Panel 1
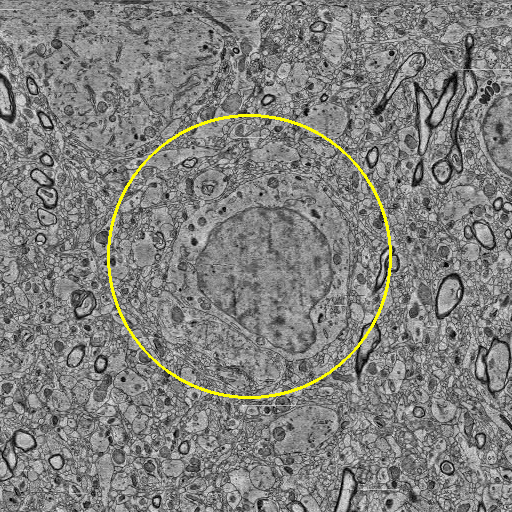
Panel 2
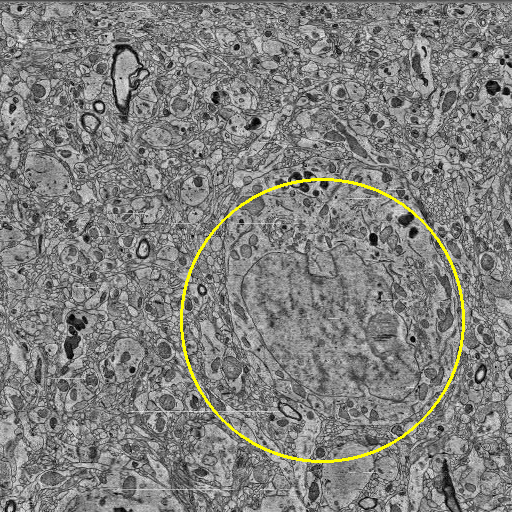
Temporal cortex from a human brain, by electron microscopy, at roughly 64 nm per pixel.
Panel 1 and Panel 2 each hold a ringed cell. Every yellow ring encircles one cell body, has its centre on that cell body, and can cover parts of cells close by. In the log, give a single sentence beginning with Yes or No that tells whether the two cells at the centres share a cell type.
Yes, in Panel 1 and Panel 2 the centred cells share a cell type.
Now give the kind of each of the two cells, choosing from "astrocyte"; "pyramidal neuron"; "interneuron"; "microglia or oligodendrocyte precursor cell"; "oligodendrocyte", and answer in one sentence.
Both the first and the second picture show an interneuron in the ring.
